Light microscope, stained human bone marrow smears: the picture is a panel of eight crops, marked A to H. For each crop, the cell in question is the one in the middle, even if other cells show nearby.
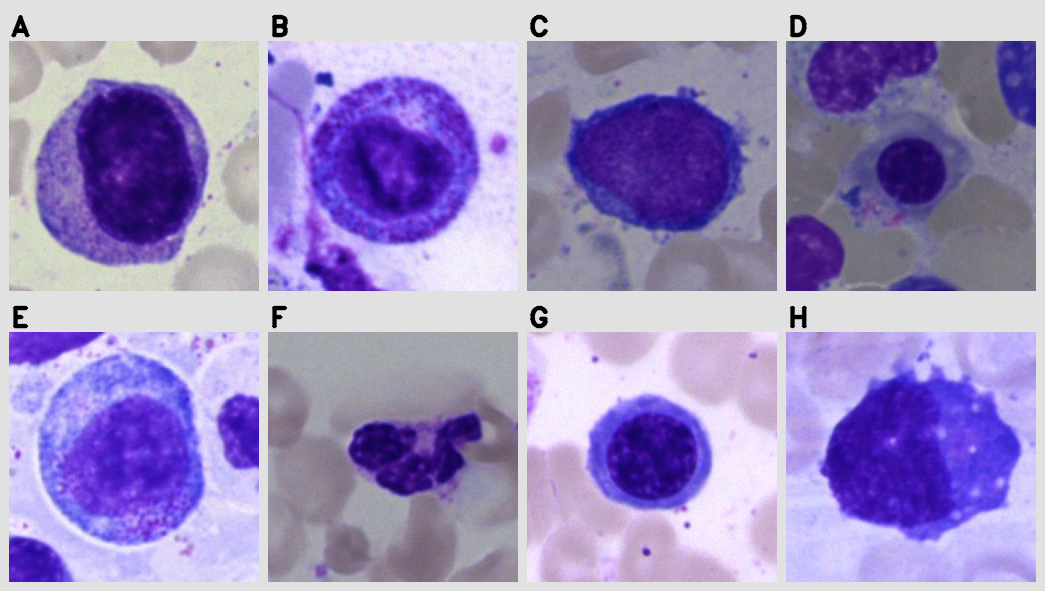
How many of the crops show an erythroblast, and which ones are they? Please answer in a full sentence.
A count of the crops showing erythroblasts gives two, namely D and G.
